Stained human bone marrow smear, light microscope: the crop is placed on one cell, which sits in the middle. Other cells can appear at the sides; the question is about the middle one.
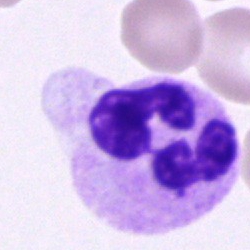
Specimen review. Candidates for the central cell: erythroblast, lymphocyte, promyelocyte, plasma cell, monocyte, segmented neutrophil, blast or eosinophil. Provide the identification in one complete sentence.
Standing at the centre of this crop is a segmented neutrophil.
